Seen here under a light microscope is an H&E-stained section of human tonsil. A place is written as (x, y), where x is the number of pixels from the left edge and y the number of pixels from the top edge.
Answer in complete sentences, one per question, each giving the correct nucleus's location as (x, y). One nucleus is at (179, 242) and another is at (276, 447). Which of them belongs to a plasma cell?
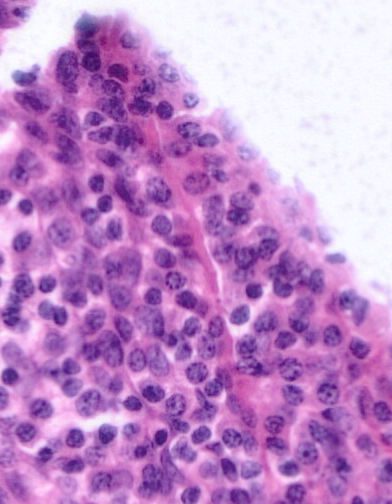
The nucleus at (276, 447) is contained in a plasma cell.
